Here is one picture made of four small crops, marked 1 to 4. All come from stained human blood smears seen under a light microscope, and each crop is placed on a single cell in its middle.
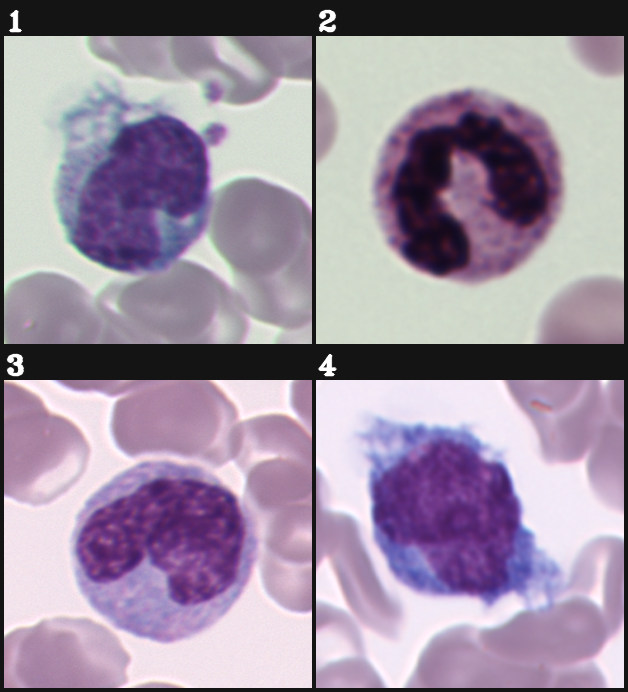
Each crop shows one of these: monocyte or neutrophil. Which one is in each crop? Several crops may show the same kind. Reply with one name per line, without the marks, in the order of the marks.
monocyte
neutrophil
monocyte
monocyte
